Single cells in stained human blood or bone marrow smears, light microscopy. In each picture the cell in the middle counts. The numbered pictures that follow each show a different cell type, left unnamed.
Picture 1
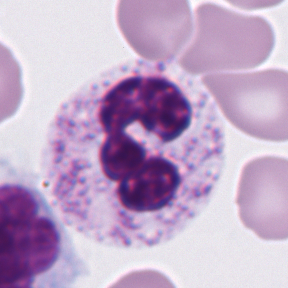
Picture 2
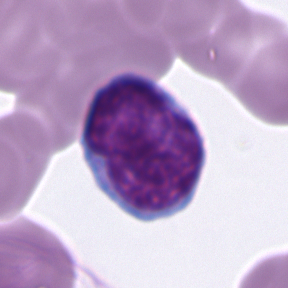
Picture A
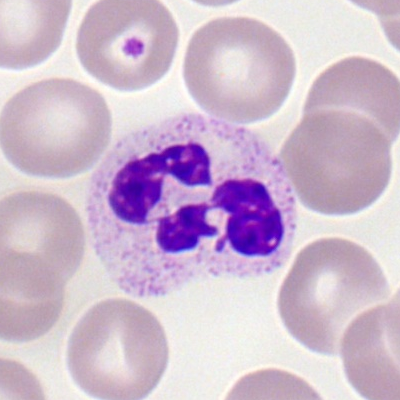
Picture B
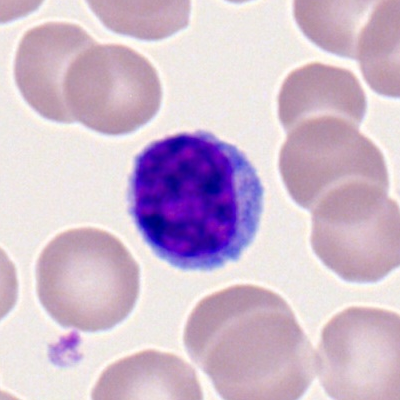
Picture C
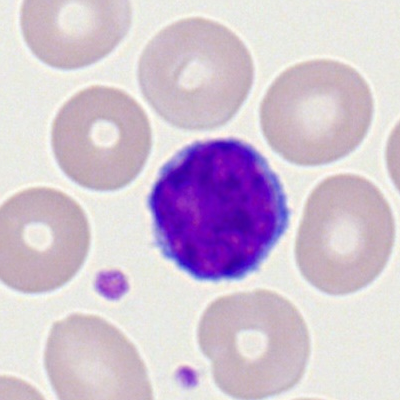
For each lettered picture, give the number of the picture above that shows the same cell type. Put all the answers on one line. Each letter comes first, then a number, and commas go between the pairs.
A 1, B 2, C 2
